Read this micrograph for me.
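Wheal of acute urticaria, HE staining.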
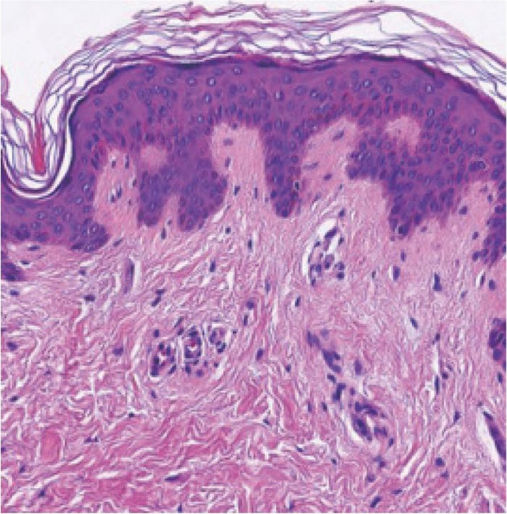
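The keratinocyte layers look orderly, with a darker basal layer. Small vessels with a few cells around them are present in the upper dermis, without a dense cellular infiltrate.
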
